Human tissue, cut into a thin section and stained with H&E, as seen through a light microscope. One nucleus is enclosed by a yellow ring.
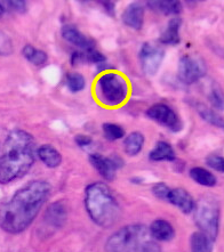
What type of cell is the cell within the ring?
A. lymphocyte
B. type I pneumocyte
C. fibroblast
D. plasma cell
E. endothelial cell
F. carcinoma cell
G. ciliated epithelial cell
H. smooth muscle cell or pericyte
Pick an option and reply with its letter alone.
D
